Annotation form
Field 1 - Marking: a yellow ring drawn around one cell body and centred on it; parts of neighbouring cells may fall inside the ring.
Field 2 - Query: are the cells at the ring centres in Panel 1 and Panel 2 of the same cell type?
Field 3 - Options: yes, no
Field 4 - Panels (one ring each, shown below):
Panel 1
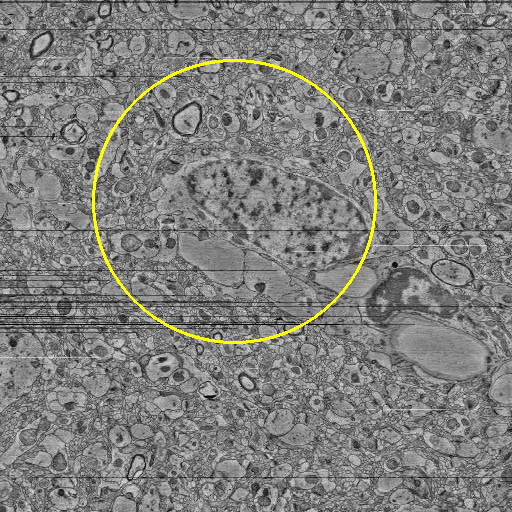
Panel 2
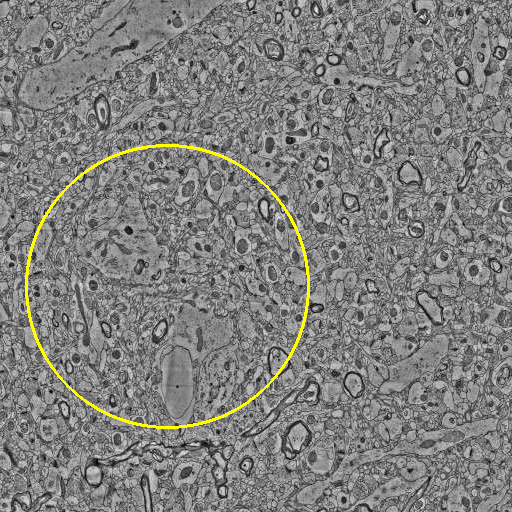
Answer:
yes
